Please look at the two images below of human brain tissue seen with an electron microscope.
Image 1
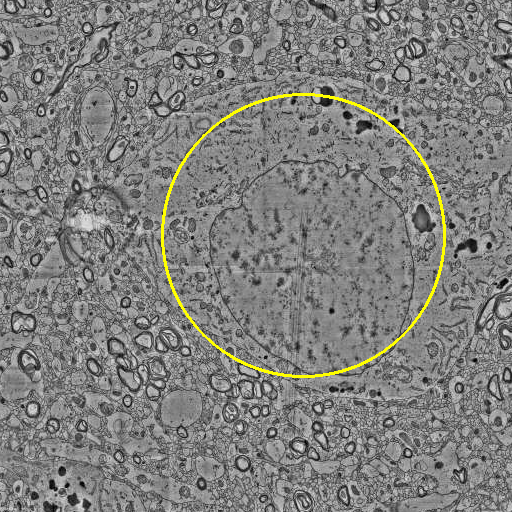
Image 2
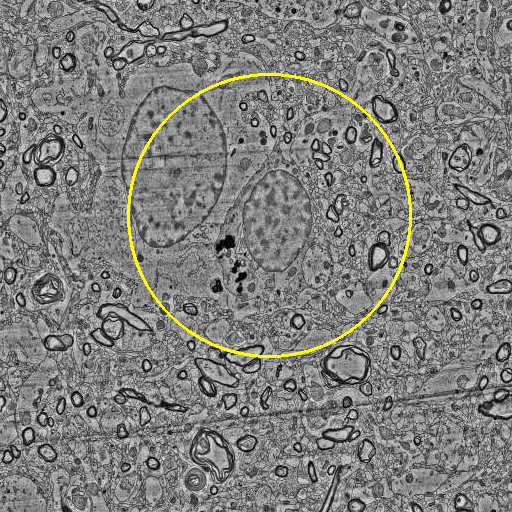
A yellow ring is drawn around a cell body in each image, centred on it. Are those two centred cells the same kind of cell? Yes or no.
no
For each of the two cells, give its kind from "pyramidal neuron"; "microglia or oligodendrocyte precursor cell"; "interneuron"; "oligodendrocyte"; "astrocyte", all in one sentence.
The first picture has a pyramidal neuron in its ring, the second has an oligodendrocyte.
